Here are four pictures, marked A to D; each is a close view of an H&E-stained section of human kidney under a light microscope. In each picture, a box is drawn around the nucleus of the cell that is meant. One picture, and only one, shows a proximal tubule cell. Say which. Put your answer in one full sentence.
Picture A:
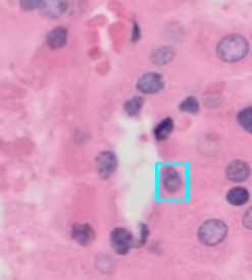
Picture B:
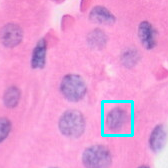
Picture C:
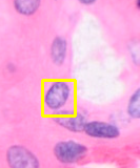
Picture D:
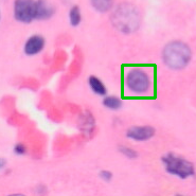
It is picture D that shows the proximal tubule cell.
